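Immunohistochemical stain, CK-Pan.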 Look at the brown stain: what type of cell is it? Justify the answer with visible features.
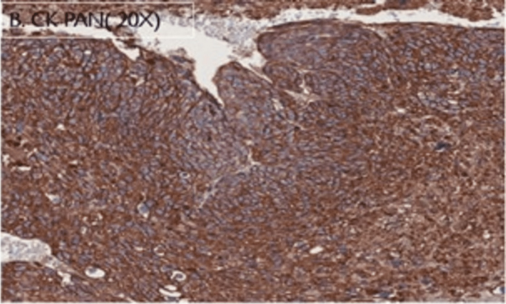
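Tumor cells. Solid sheets of closely packed cells fill most of the panel. The cells show diffuse brown cytoplasmic and membranous staining with blue nuclei. The sheets have a rounded, pushing edge against a cleft.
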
